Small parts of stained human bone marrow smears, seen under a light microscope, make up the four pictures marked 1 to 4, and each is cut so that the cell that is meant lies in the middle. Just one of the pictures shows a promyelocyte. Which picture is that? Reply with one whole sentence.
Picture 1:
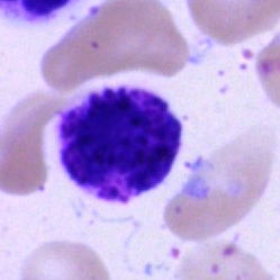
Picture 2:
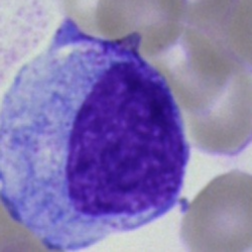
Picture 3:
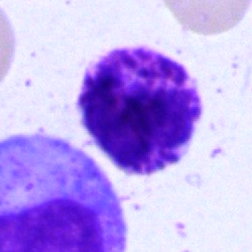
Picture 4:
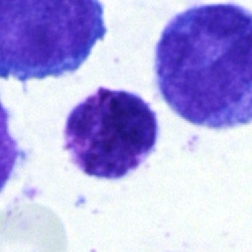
The cell in picture 2 is the promyelocyte.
